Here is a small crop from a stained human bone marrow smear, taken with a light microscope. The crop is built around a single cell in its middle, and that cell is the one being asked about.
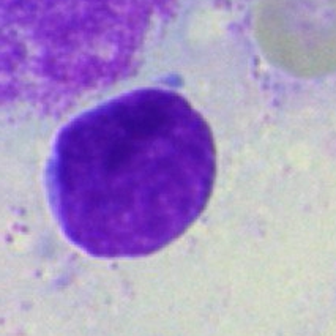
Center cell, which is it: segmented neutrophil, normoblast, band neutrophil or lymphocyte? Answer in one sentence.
The cell of interest, located centrally, is a lymphocyte.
